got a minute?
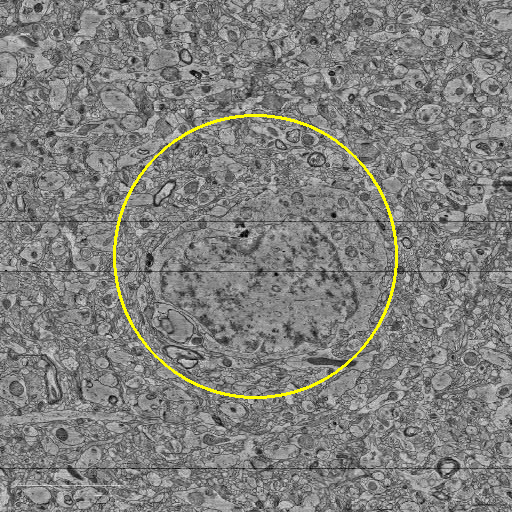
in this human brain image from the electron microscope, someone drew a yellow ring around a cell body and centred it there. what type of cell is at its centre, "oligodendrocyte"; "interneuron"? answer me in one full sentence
It's an interneuron at the middle of that yellow ring in the shot.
